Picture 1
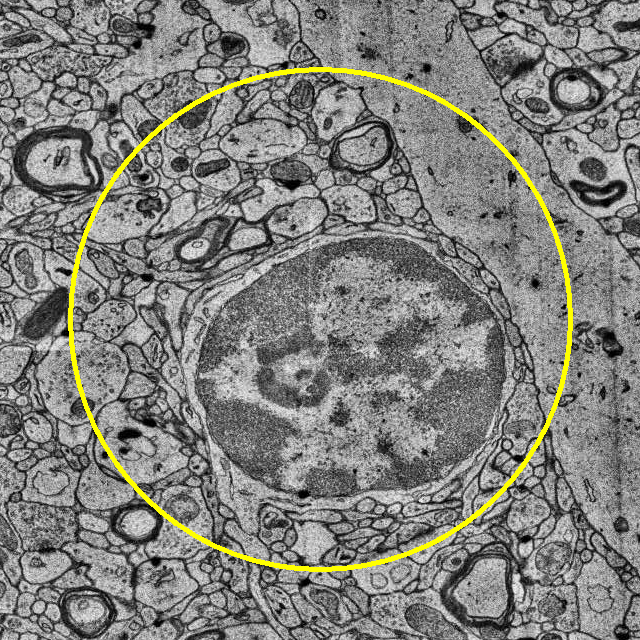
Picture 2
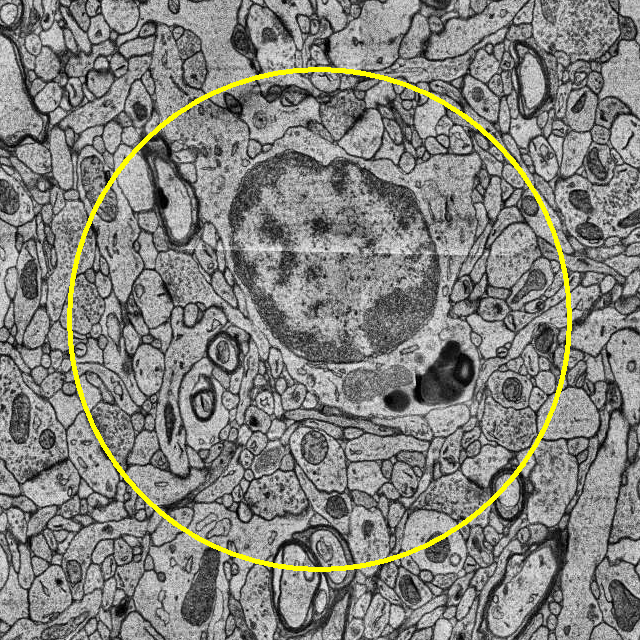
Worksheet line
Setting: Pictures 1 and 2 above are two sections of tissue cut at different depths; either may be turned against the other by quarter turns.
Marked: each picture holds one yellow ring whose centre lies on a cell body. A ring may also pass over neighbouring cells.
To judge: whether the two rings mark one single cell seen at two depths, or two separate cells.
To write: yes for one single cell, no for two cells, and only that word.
yes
